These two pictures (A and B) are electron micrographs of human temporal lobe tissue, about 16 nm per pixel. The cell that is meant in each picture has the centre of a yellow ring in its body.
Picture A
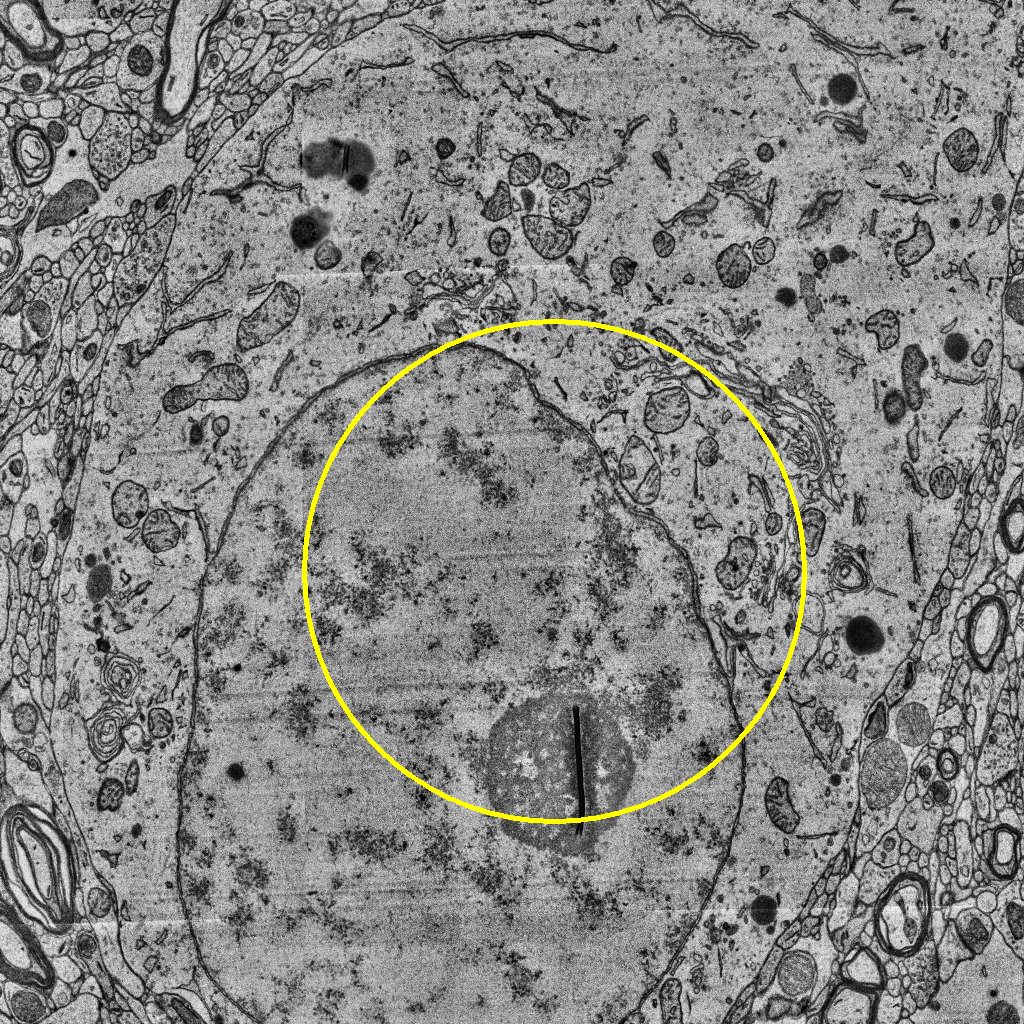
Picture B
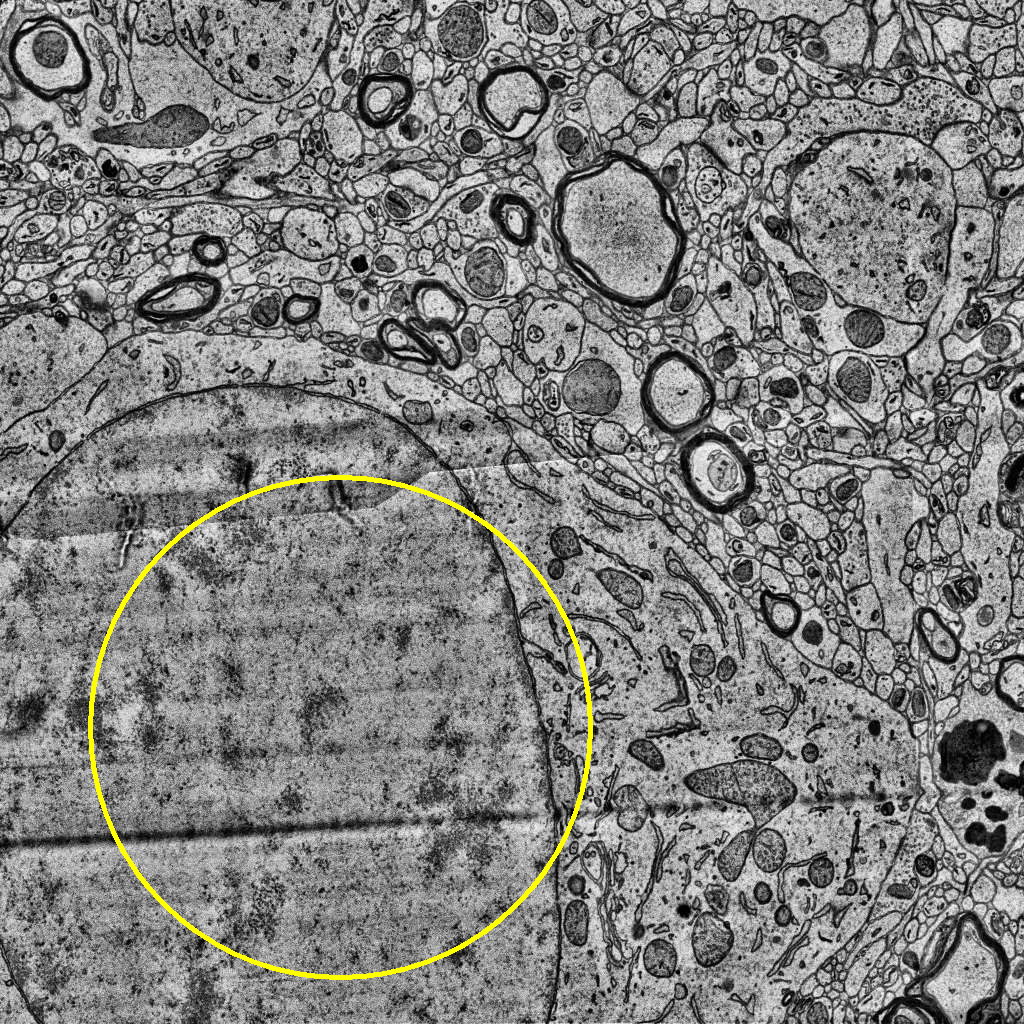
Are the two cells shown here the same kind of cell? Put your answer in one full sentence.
Yes, both cells are pyramidal neurons.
